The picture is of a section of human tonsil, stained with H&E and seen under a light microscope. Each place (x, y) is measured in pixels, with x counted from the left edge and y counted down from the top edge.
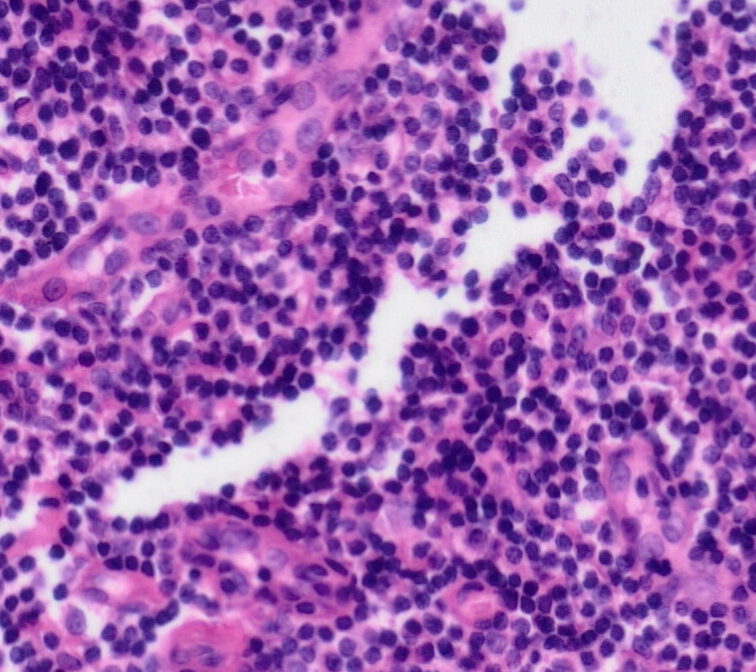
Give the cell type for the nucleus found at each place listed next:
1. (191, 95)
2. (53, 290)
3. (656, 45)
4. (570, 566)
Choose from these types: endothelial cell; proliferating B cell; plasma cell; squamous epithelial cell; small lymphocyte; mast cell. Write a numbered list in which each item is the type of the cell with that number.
1. small lymphocyte
2. endothelial cell
3. small lymphocyte
4. small lymphocyte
